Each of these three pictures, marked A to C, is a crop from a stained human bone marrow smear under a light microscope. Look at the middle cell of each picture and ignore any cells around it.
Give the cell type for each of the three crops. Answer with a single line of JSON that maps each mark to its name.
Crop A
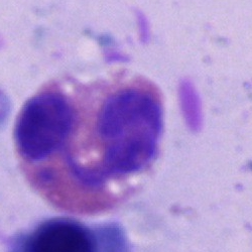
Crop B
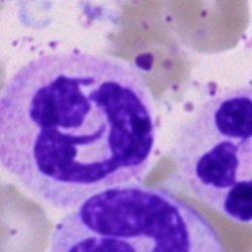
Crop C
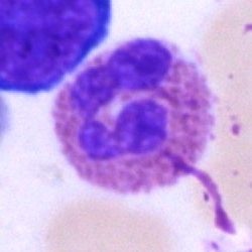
{"A": "eosinophil", "B": "neutrophil", "C": "eosinophil"}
